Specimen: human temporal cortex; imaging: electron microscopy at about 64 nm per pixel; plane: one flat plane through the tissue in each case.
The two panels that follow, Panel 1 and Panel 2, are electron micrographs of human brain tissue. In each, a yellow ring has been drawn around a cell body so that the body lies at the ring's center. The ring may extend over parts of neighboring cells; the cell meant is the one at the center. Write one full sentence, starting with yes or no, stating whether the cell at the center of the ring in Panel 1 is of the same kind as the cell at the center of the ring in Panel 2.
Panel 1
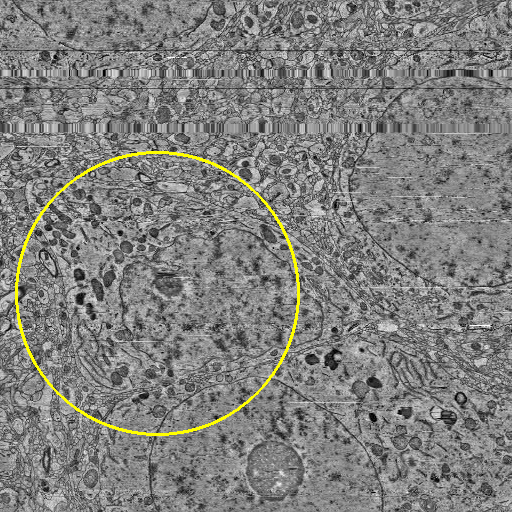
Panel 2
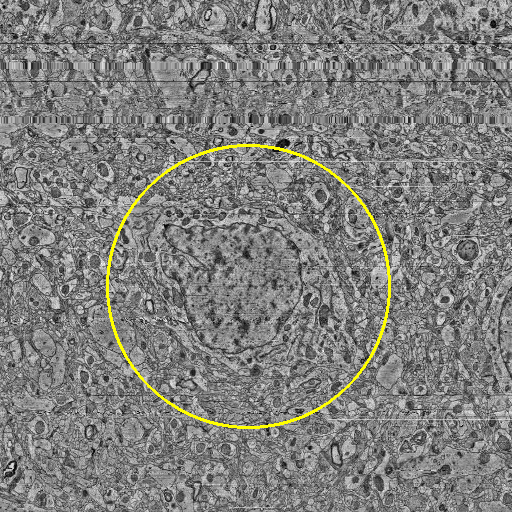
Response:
Yes, the cells in both panels are of the same kind.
